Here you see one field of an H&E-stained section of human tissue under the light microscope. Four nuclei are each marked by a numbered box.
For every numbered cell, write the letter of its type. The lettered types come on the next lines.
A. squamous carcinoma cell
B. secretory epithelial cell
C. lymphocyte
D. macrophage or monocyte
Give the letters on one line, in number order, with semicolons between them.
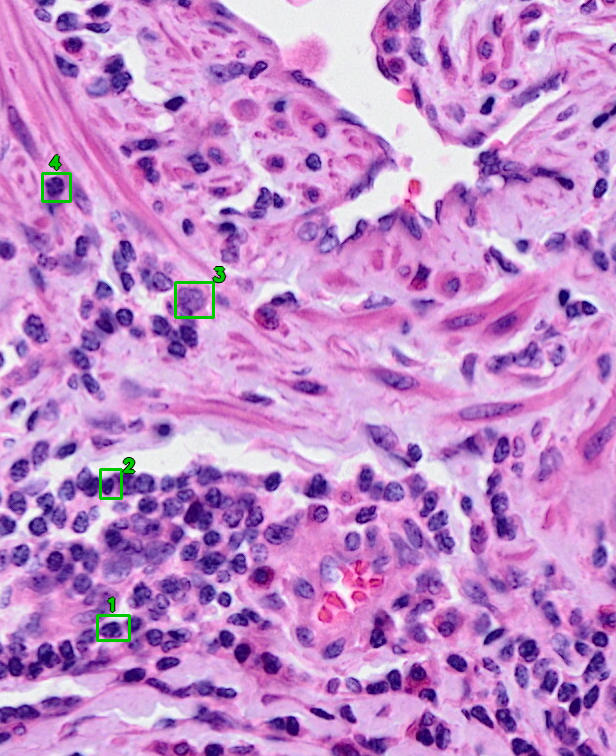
C; C; D; C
